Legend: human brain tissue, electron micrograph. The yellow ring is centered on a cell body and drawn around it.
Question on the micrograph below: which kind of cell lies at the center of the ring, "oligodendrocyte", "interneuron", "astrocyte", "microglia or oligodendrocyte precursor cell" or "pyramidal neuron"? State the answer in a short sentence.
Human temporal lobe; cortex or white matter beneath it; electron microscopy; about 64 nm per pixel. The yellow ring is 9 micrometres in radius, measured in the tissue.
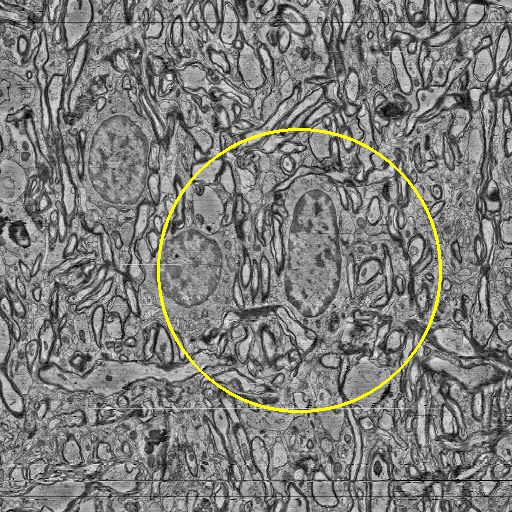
At the center of the ring lies a microglial cell or oligodendrocyte precursor cell.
